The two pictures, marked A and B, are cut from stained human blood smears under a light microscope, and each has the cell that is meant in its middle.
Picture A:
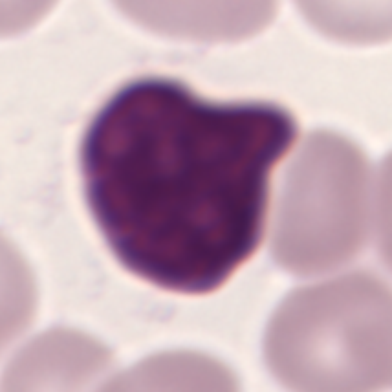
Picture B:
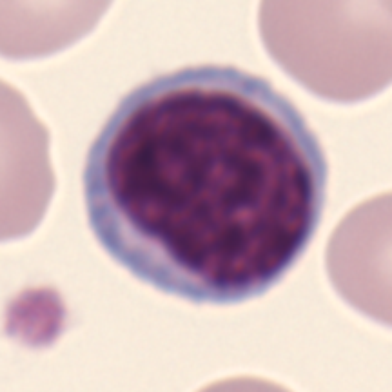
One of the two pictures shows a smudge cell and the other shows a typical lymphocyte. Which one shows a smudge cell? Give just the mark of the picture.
A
